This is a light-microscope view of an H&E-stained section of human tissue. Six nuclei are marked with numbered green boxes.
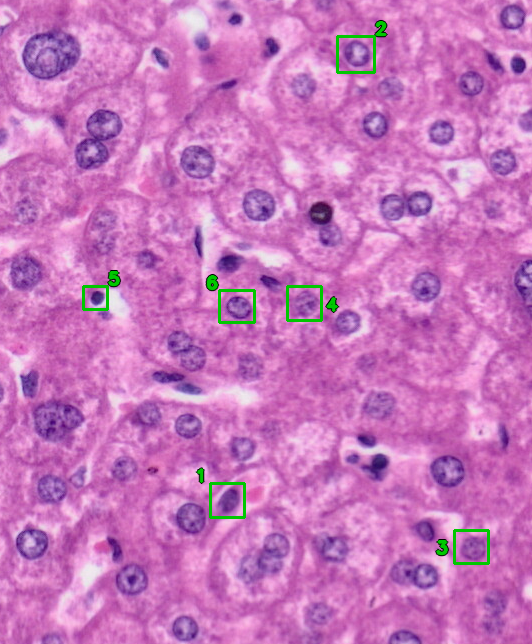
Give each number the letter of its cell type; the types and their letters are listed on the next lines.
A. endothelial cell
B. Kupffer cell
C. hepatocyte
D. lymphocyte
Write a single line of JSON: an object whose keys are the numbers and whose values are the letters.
{"1": "B", "2": "C", "3": "C", "4": "C", "5": "D", "6": "C"}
